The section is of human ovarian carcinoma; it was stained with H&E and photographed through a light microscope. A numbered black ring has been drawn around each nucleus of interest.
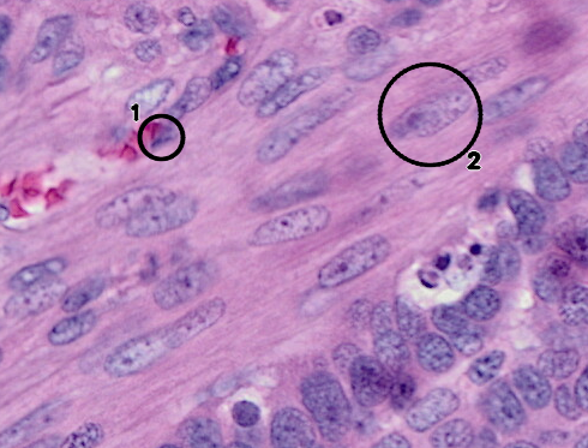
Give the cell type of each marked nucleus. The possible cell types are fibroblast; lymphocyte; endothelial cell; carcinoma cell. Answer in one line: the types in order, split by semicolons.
endothelial cell; fibroblast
